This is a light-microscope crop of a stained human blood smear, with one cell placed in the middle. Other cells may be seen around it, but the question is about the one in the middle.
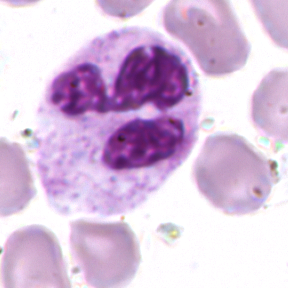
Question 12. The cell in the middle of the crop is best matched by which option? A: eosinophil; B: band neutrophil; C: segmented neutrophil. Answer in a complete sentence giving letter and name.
Option C is correct in naming the middle cell a segmented neutrophil.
